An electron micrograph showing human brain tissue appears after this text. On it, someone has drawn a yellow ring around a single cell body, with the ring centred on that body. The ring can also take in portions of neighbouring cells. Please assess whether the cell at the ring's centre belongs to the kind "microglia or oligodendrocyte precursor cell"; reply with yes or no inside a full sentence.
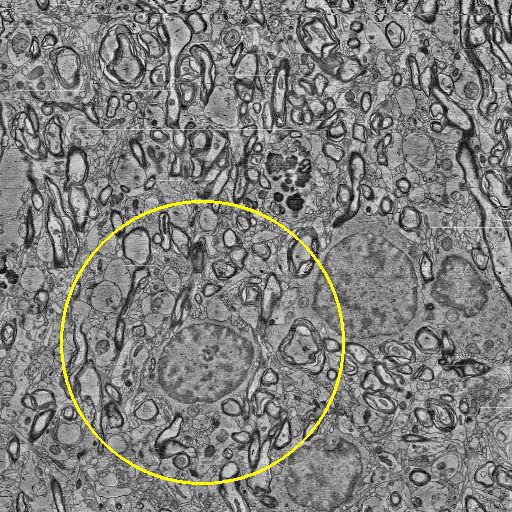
No, in this micrograph the cell at the centre of the ring is of another kind.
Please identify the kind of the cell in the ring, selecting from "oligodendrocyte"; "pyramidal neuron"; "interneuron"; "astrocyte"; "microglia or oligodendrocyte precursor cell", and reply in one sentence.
The cell that the ring is centred on is an oligodendrocyte.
